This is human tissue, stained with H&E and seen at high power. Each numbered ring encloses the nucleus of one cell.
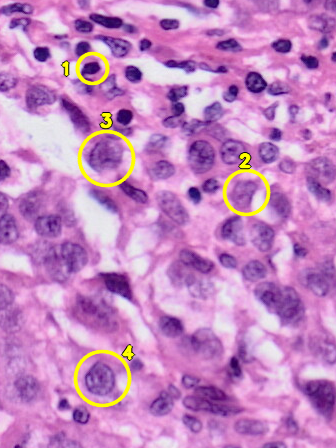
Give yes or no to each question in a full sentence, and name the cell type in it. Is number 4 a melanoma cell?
Yes, among the marked cells, the one with number 4 is a melanoma cell.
